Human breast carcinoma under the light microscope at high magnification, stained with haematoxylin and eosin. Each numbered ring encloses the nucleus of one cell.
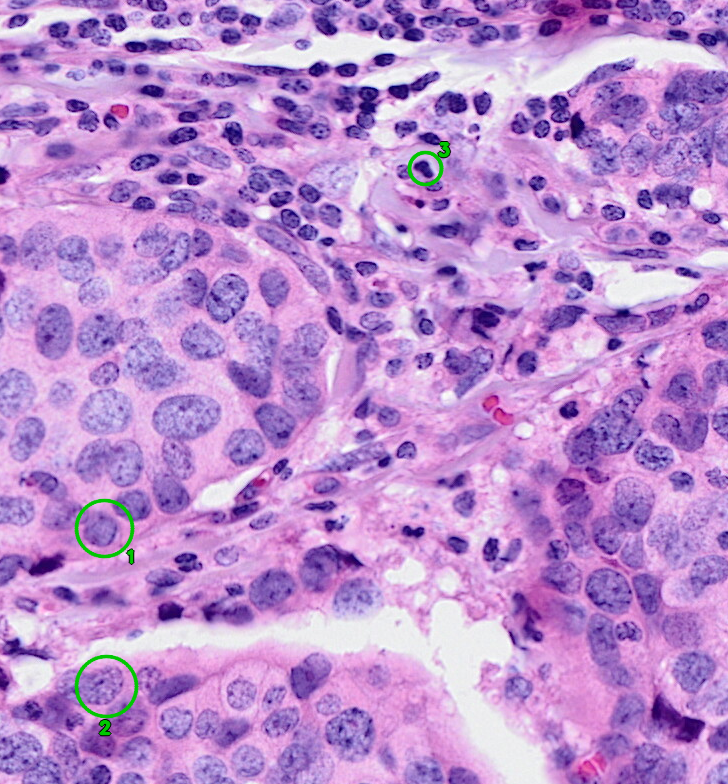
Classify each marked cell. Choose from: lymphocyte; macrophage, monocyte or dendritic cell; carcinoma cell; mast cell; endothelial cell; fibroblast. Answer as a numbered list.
1. carcinoma cell
2. carcinoma cell
3. lymphocyte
